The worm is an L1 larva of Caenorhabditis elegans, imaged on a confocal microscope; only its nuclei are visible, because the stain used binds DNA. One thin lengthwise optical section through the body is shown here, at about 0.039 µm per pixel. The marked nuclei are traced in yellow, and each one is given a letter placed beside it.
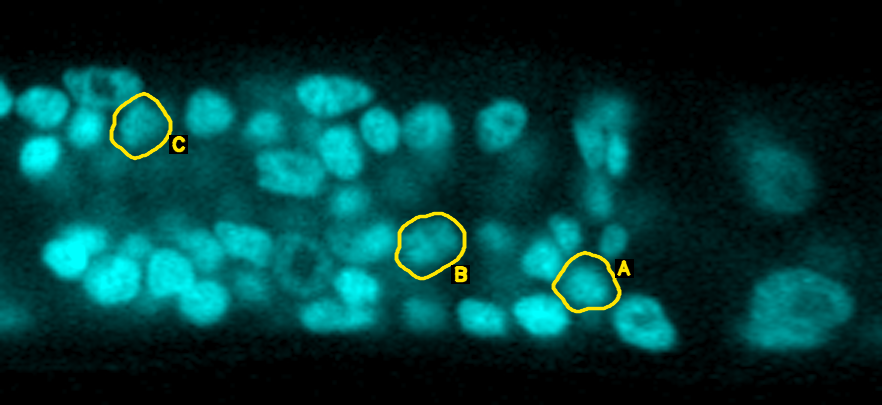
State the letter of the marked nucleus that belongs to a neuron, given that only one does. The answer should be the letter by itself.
C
